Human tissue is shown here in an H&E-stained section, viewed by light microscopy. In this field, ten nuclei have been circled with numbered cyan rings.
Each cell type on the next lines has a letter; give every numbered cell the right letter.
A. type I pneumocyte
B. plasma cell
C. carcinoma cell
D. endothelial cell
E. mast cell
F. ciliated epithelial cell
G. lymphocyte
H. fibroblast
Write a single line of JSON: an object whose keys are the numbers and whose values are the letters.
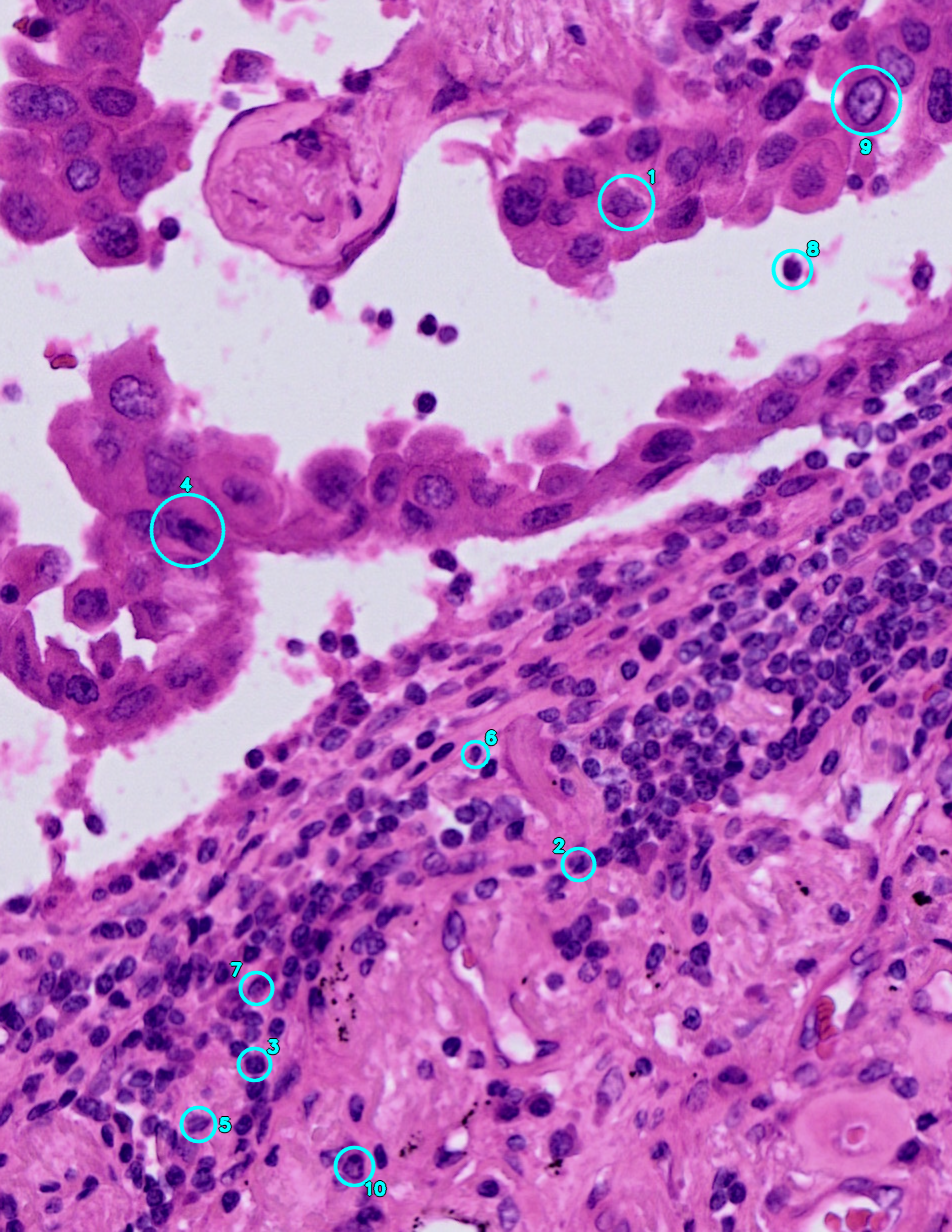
{"1": "C", "2": "G", "3": "G", "4": "C", "5": "G", "6": "G", "7": "G", "8": "G", "9": "C", "10": "B"}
